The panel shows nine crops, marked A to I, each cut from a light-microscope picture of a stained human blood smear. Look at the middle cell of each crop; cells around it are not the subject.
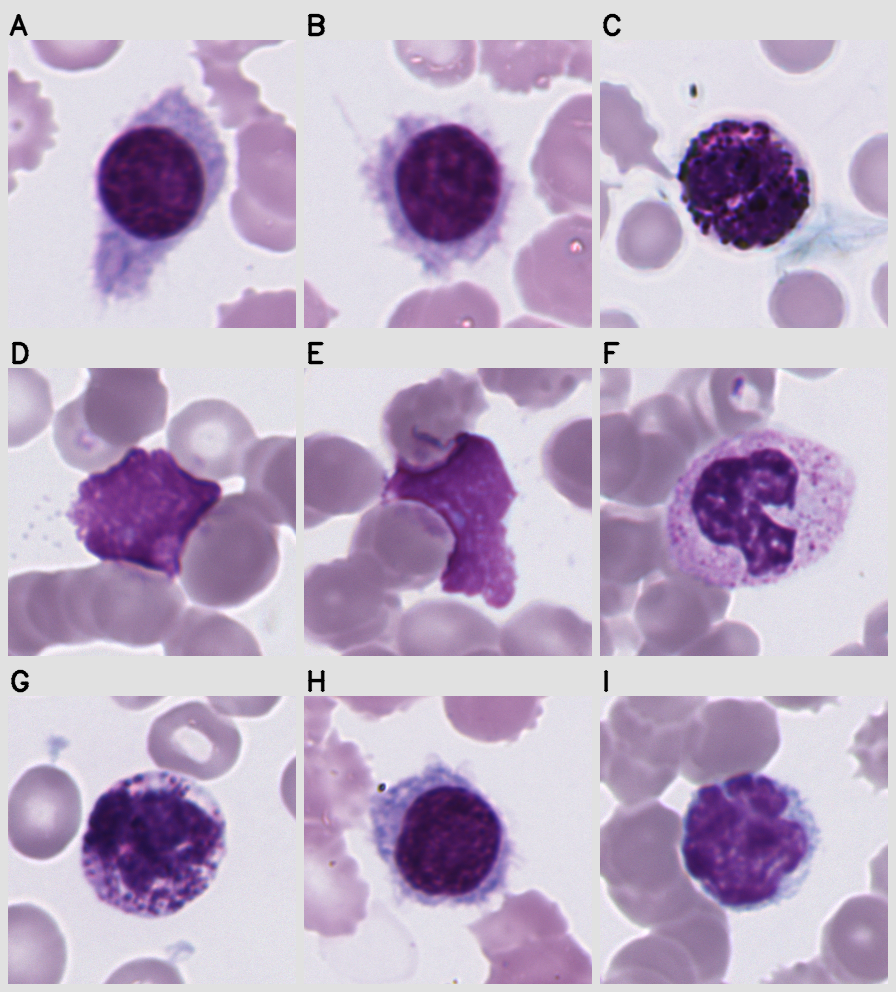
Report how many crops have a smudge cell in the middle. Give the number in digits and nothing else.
2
